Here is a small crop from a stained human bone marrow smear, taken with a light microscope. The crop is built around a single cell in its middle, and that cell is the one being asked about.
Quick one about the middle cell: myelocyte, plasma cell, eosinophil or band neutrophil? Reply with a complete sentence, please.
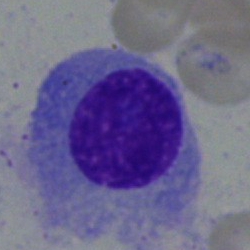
The cell that lies at the centre of the crop is a plasma cell.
